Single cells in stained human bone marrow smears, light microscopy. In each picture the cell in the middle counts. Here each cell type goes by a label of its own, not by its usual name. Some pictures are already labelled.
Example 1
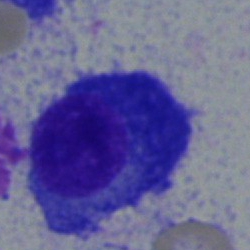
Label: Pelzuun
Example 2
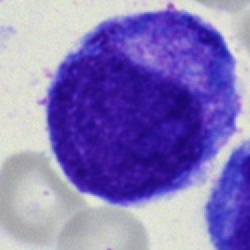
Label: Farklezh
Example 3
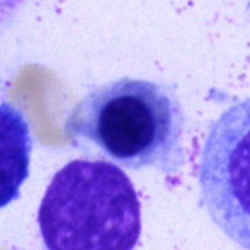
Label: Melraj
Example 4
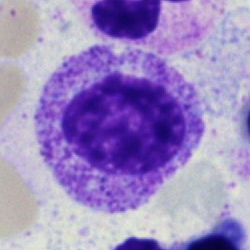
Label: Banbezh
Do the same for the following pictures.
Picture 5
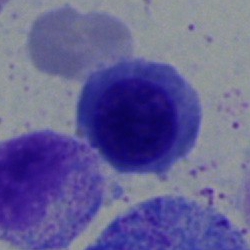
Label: Melraj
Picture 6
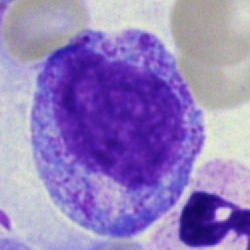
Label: Banbezh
